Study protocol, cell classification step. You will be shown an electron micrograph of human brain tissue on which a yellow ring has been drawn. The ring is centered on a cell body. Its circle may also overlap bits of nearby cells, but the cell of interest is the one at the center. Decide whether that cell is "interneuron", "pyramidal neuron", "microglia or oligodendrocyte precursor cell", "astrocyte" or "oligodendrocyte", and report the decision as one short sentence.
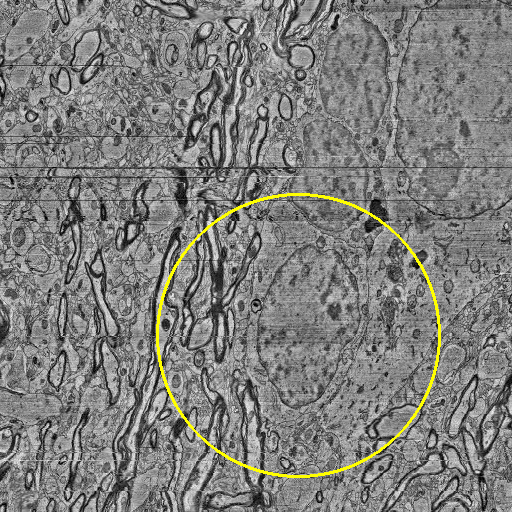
The marked cell is an interneuron.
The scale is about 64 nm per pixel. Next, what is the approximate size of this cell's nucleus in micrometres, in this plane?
In this plane the nucleus measures roughly 11 by 7 micrometres.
